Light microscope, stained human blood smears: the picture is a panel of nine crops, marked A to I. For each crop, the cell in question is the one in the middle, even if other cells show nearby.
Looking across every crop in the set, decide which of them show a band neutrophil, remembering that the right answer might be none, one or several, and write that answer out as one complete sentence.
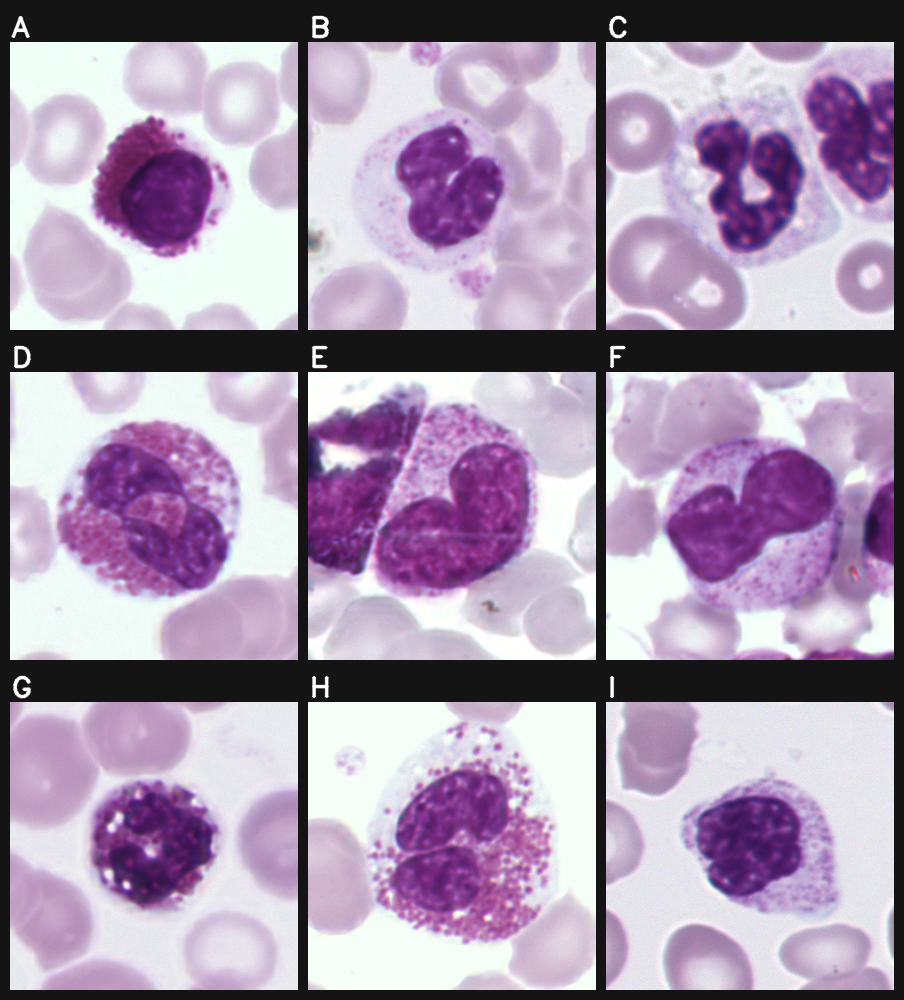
Crops B, E and F are recognised as showing band neutrophils.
